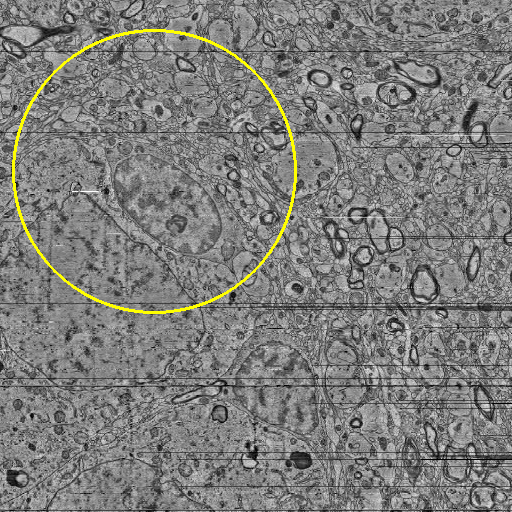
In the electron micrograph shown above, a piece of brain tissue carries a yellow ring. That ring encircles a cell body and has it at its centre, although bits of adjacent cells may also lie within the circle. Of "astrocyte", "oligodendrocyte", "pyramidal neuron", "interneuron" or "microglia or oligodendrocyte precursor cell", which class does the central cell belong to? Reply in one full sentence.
The cell body at the centre of the yellow ring belongs to an oligodendrocyte.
